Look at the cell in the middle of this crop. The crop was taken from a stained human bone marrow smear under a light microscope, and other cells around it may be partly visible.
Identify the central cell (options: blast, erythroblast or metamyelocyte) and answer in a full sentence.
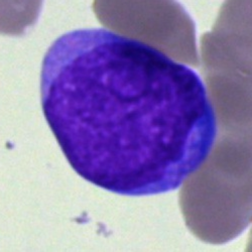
Within this crop, a blast occupies the central position.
